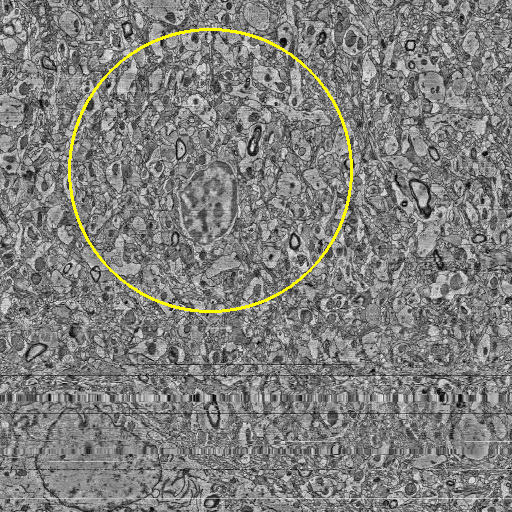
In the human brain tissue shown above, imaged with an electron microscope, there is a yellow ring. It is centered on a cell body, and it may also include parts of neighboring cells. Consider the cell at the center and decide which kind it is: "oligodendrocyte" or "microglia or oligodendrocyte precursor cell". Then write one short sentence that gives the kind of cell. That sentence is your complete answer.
This centered cell body is that of a microglial cell or oligodendrocyte precursor cell.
